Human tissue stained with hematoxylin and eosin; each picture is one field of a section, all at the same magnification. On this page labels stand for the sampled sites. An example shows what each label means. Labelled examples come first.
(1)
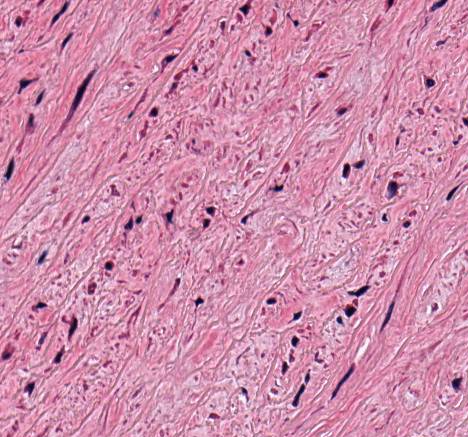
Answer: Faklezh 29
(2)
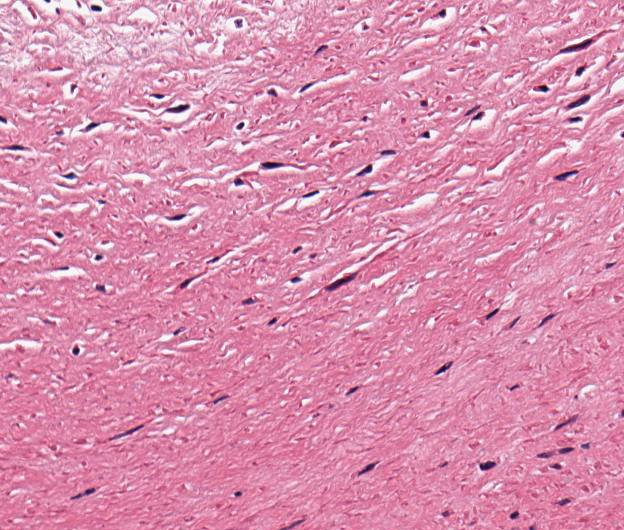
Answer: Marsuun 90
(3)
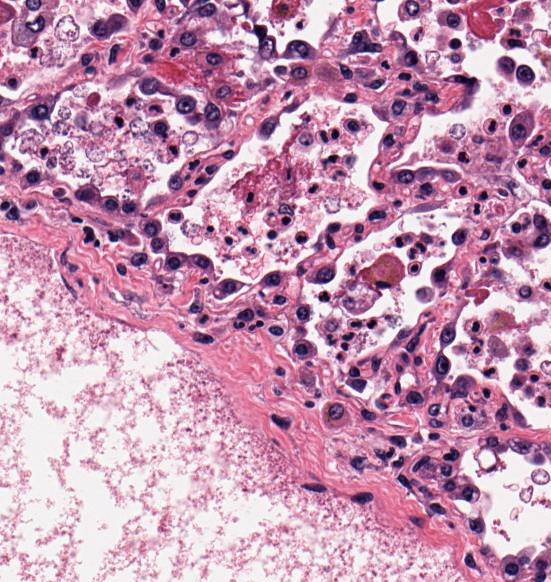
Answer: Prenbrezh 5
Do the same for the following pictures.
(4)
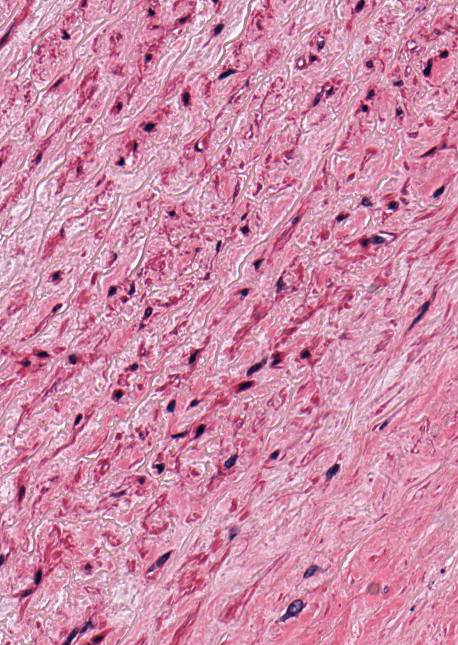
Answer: Faklezh 29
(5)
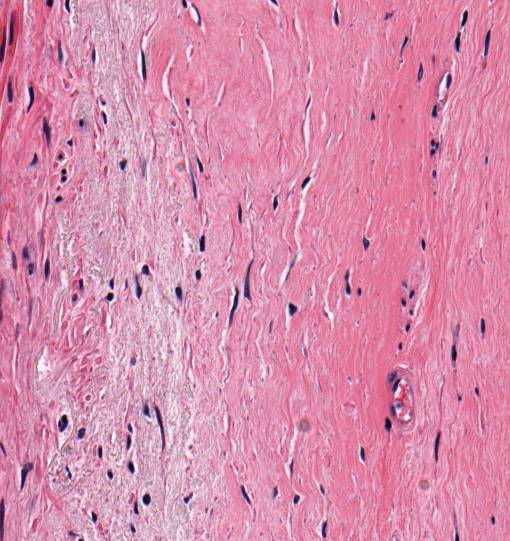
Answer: Marsuun 90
